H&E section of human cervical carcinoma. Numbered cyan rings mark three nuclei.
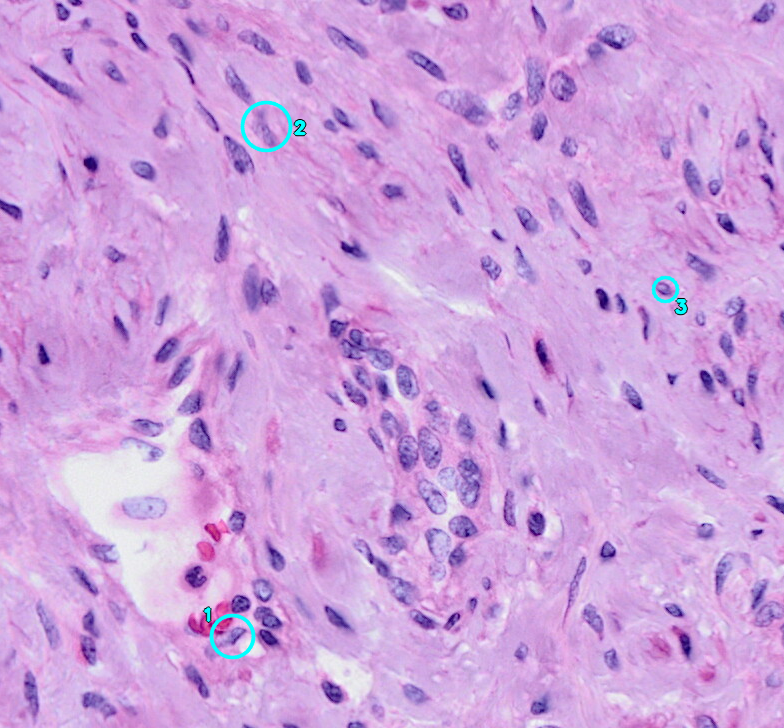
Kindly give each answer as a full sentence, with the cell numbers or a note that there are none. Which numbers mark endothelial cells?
Only one choice fits: cell 1 is an endothelial cell, and no other.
